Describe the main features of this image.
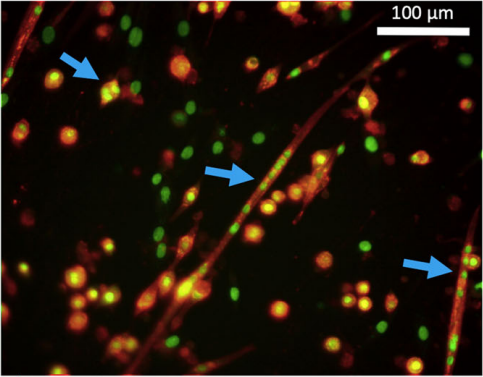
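Several long, thin red fibres run diagonally across the field, each holding a chain of green nuclei in a row, marking multinucleated myotubes. Around them lie many small rounded red cells with a single yellow-green nucleus, a few spread cells with short processes, and scattered green nuclei without red cytoplasm.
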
